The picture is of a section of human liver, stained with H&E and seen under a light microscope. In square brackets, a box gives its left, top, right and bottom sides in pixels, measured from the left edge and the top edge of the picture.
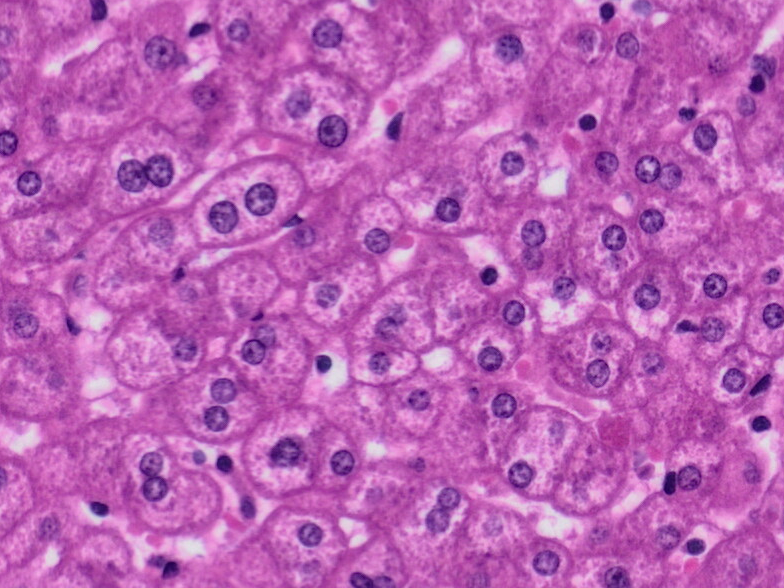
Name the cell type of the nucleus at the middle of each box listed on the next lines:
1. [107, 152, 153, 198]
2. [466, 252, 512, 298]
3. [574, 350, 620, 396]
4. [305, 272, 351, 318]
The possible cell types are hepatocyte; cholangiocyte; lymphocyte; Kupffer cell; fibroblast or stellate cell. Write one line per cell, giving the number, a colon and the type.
1: hepatocyte
2: lymphocyte
3: hepatocyte
4: hepatocyte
